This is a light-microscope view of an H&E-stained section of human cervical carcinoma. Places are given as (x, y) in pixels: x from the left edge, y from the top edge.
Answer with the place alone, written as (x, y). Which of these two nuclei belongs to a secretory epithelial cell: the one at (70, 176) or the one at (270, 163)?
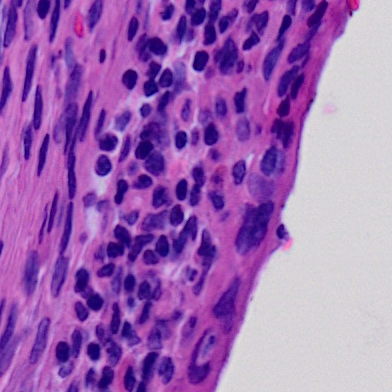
(270, 163)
